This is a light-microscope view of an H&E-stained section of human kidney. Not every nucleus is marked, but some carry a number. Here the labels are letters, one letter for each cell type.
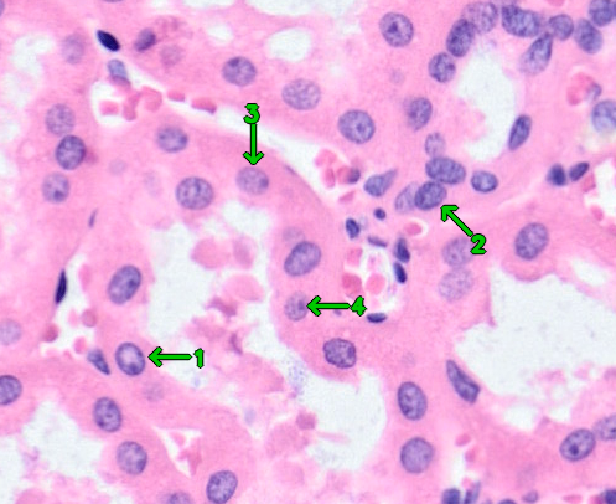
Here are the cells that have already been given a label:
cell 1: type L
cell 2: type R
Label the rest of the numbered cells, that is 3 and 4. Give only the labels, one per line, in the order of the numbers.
type L
type L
